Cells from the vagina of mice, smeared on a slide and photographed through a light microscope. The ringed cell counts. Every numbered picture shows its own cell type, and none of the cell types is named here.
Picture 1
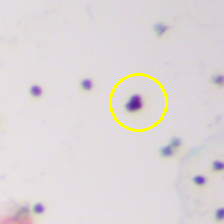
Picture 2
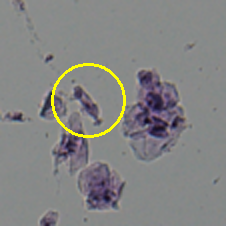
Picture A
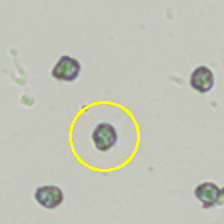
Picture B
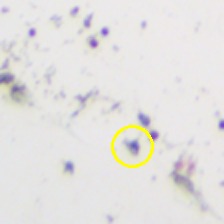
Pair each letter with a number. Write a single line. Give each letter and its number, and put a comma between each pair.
A 1, B 1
